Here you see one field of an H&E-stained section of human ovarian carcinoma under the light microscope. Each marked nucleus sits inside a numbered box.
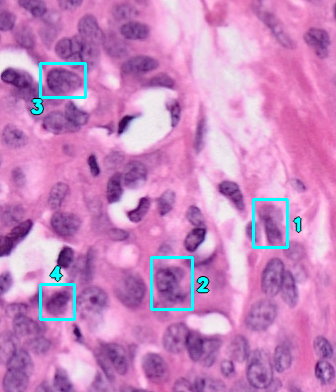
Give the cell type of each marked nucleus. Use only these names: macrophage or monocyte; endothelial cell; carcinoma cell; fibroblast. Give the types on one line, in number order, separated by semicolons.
fibroblast; carcinoma cell; carcinoma cell; carcinoma cell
